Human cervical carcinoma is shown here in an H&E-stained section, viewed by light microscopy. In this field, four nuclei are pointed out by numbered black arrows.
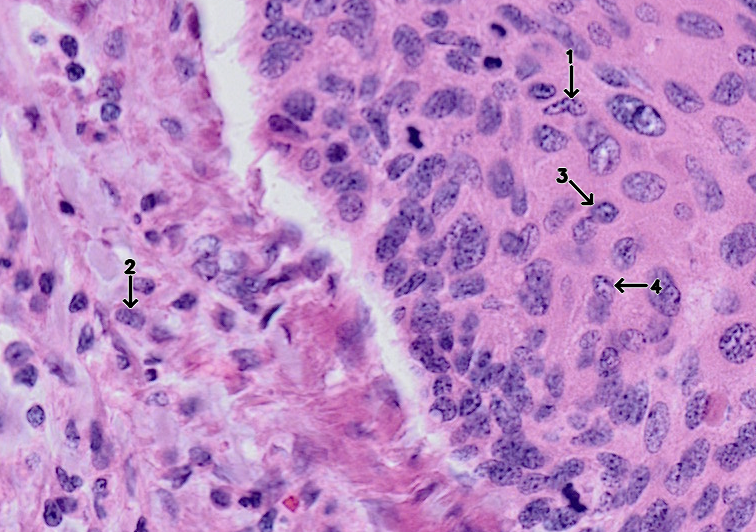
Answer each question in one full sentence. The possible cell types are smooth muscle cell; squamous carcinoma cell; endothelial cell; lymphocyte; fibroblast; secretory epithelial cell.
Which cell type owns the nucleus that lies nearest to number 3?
The cell nearest to number 3 is a squamous carcinoma cell.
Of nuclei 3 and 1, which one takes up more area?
Number 3 is larger; its area is about 1.5 times that of number 1.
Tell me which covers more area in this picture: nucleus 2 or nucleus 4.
It is nucleus 2, which covers about 1.5 times the area of nucleus 4.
